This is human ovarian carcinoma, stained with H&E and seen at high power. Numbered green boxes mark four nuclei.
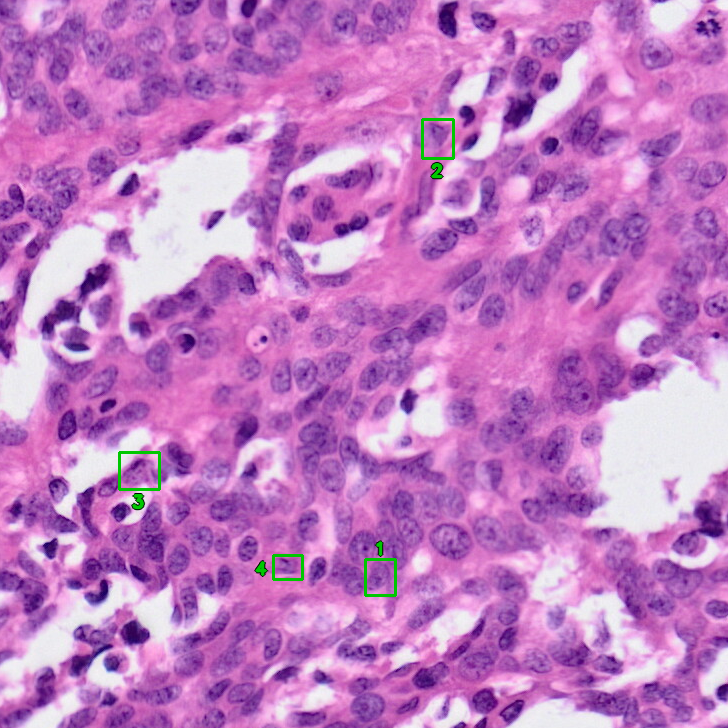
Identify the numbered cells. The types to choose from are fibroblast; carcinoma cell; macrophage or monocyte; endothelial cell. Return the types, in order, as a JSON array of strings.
["carcinoma cell", "endothelial cell", "macrophage or monocyte", "endothelial cell"]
